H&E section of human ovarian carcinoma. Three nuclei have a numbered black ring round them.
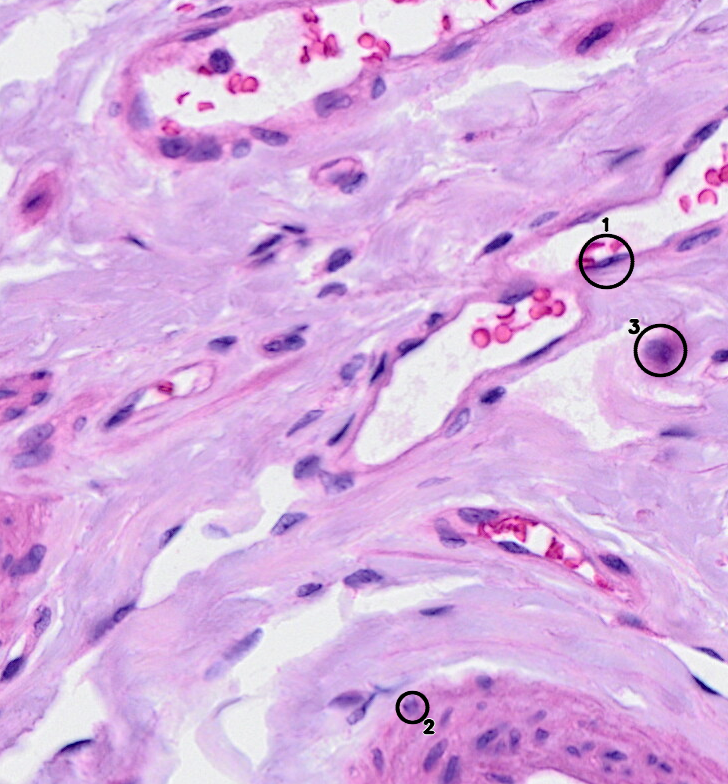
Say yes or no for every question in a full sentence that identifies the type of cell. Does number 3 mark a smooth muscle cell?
No, the cell with number 3 is not a smooth muscle cell but an endothelial cell.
